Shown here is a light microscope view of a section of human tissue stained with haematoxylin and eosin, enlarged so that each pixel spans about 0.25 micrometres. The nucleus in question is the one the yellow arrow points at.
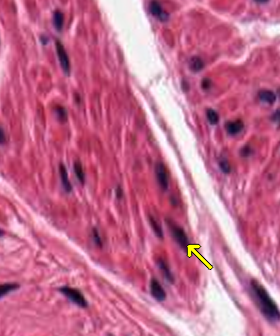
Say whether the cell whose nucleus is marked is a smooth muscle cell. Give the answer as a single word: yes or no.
yes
